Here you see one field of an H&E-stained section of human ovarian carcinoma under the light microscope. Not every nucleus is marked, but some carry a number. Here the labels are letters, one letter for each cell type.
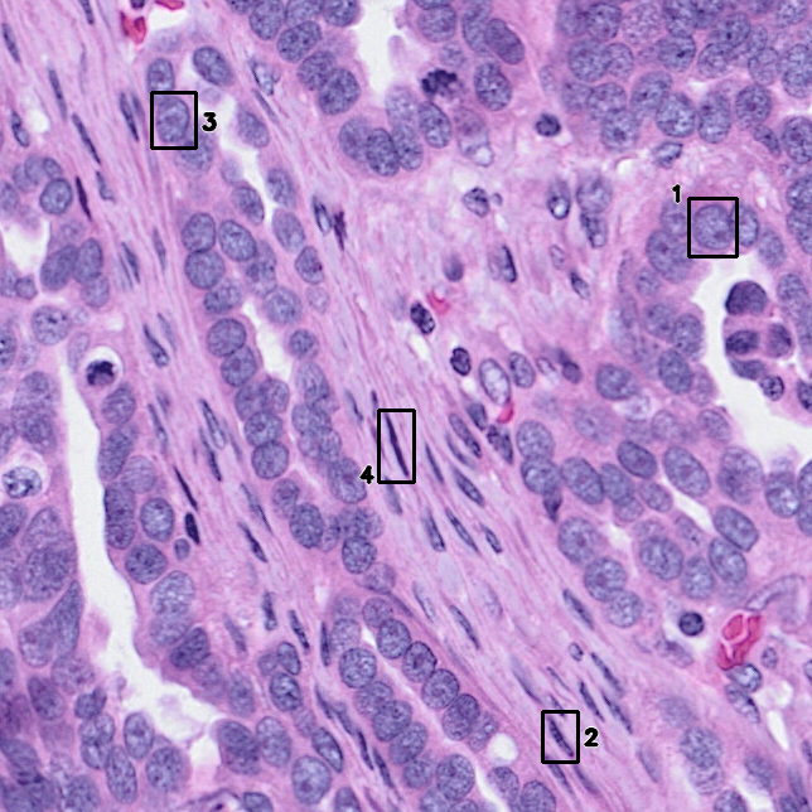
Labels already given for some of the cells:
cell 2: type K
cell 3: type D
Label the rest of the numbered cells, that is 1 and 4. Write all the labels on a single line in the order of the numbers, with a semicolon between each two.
type D; type K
